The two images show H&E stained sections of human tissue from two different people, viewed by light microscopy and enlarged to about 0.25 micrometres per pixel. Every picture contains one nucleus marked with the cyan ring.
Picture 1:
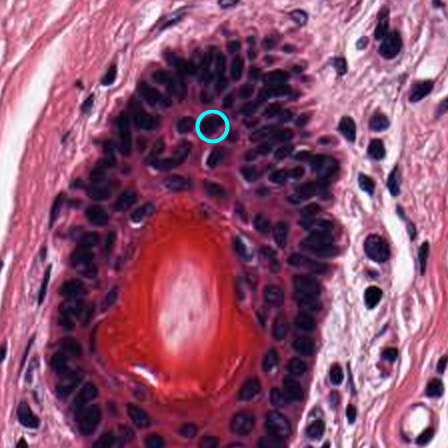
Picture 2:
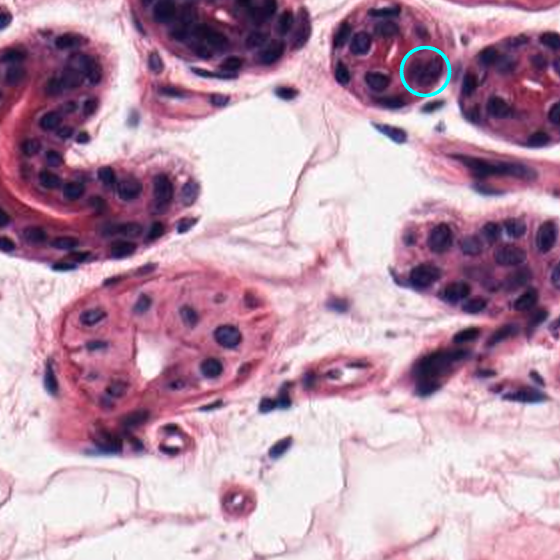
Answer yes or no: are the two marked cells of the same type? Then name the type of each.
No, the first is a keratinocyte and the second a sweat gland cell.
